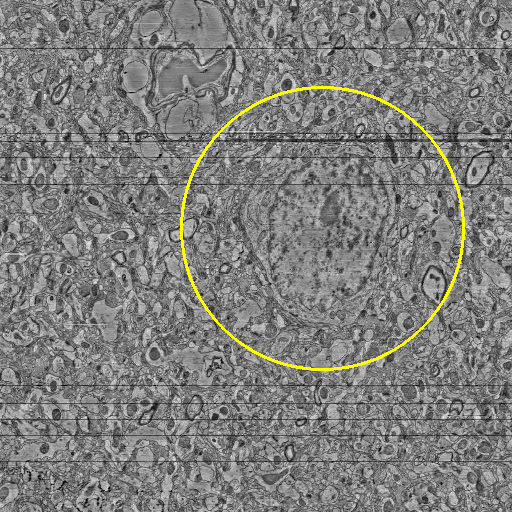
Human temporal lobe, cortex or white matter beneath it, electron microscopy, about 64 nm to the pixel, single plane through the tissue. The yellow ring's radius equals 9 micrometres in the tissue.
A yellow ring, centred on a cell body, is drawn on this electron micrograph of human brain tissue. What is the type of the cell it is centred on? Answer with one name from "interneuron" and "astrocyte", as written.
interneuron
